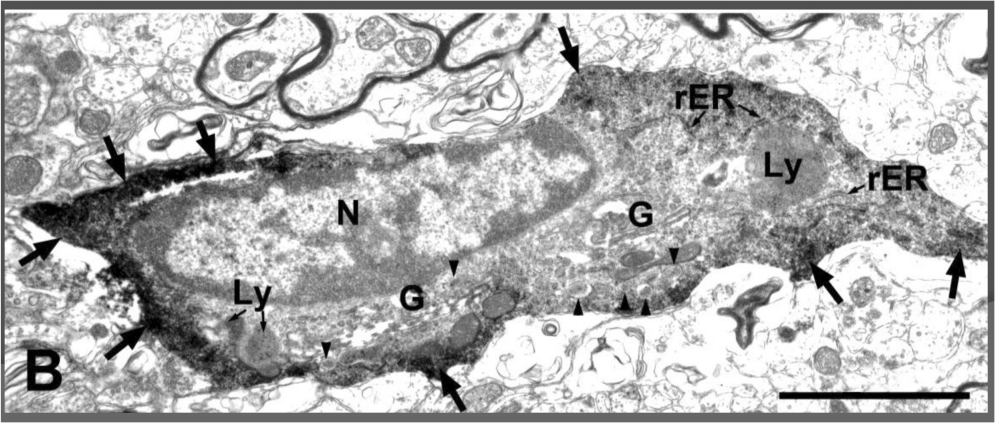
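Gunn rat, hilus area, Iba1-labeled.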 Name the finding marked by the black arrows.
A: increased electron density at the periphery of cytoplasm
